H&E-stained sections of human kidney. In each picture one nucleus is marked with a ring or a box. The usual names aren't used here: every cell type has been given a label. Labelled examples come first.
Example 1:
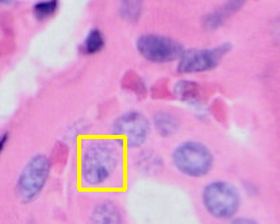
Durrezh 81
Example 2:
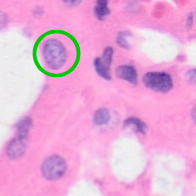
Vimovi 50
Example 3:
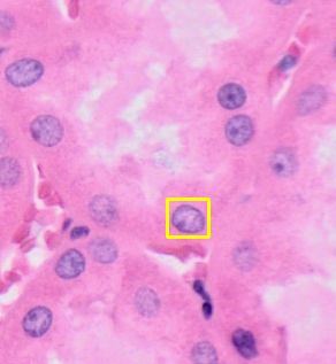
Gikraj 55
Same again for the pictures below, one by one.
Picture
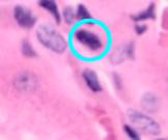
Durrezh 81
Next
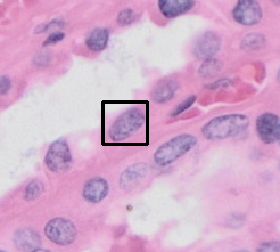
Vimovi 50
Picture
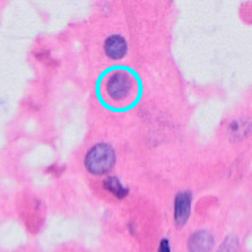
Gikraj 55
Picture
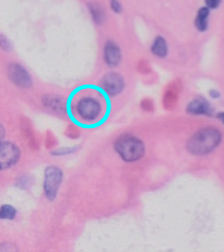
Durrezh 81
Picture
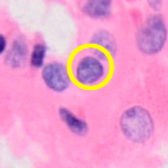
Durrezh 81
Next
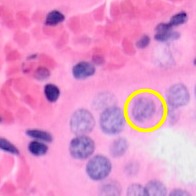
Durrezh 81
